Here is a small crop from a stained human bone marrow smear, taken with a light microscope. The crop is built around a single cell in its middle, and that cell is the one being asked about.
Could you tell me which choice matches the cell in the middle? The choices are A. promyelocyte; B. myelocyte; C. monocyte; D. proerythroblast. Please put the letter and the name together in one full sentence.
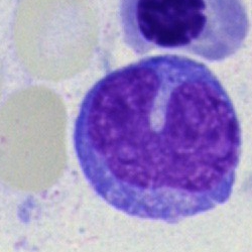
According to option C, which is correct, the cell in the middle is a monocyte.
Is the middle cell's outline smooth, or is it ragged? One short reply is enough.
The membrane contour is even and smooth, with nothing projecting from it.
